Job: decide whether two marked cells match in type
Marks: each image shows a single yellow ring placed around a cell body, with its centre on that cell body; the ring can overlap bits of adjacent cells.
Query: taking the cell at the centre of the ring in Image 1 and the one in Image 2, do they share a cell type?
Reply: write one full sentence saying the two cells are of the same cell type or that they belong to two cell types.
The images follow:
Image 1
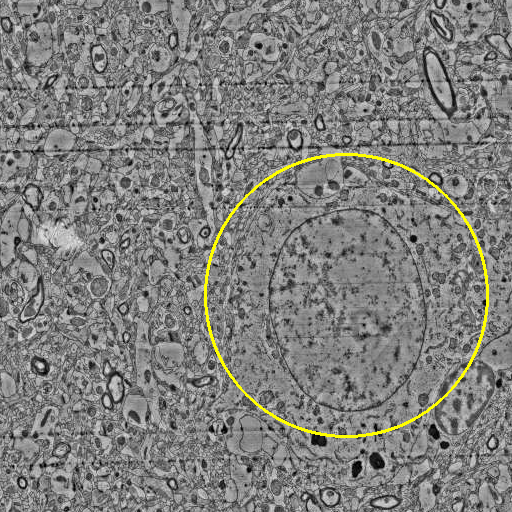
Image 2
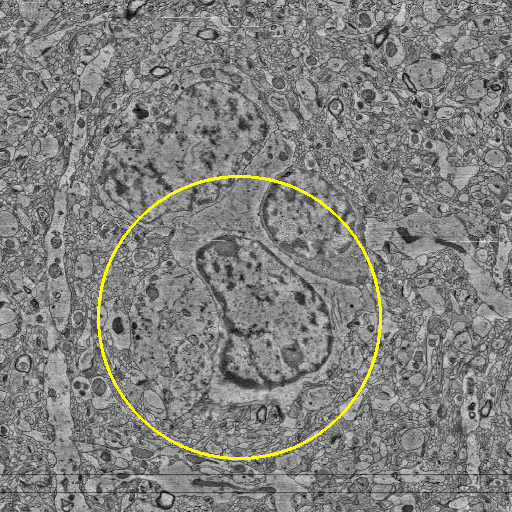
The cells at the ring centres in Image 1 and Image 2 belong to two cell types.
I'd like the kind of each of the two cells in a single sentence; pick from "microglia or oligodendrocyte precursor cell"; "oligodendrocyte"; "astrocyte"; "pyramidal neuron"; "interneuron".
The first ring marks a pyramidal neuron, and the second ring marks a microglial cell or oligodendrocyte precursor cell.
